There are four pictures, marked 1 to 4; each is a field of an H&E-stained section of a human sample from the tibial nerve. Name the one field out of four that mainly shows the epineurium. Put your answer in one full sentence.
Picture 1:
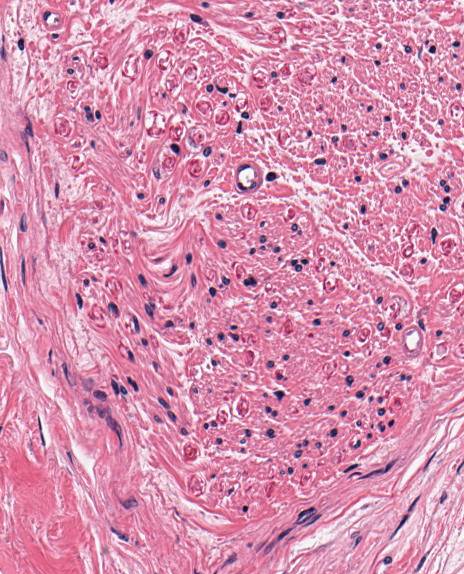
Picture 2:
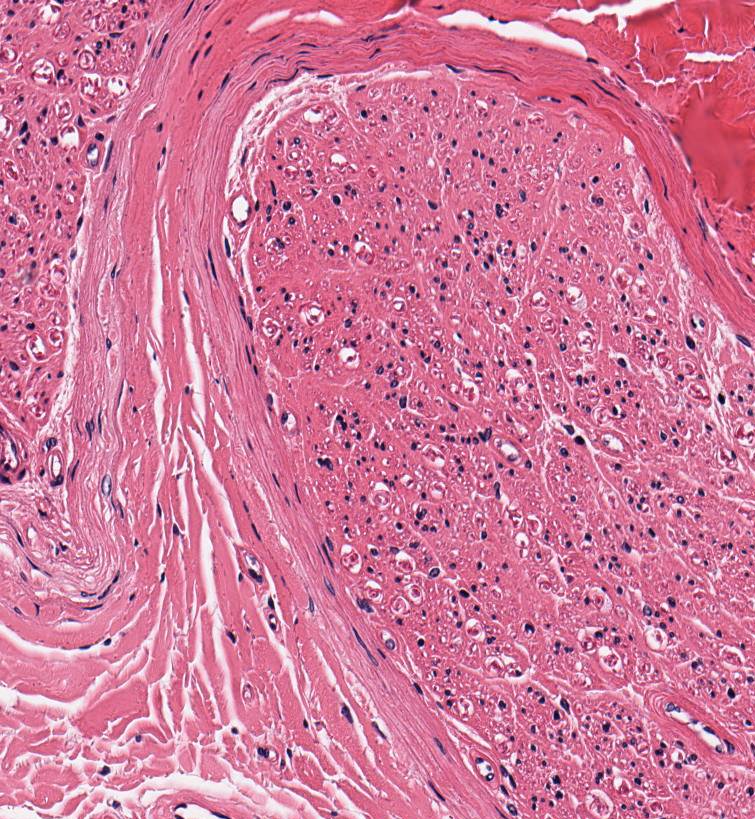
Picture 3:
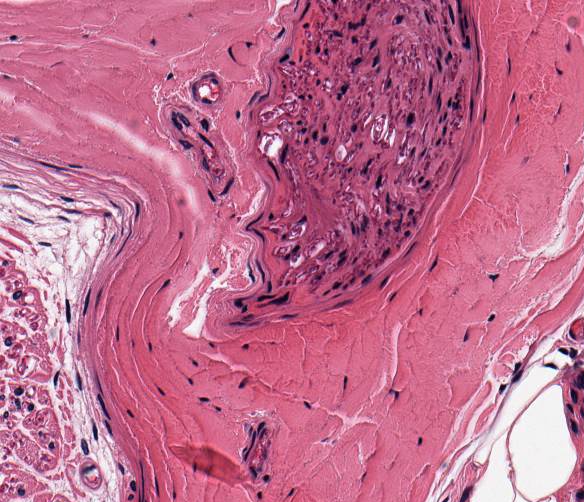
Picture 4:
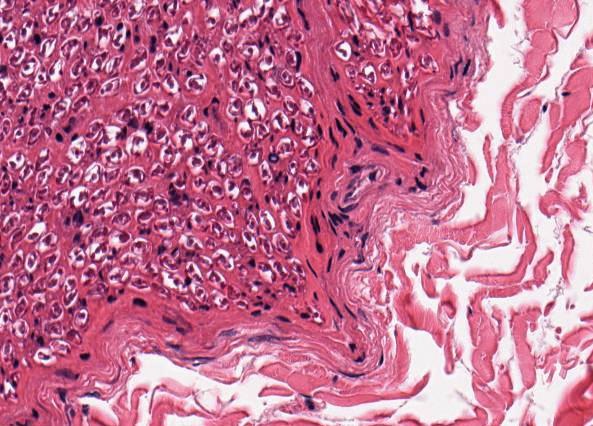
It is picture 3 that mainly shows the epineurium.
